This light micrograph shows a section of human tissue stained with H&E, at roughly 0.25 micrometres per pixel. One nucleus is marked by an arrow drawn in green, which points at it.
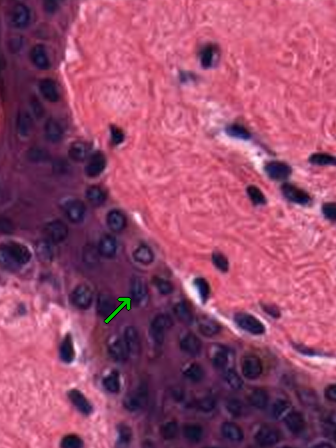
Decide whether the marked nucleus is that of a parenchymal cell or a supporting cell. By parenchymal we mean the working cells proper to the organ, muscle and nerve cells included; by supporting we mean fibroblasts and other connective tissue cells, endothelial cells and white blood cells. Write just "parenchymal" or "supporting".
parenchymal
